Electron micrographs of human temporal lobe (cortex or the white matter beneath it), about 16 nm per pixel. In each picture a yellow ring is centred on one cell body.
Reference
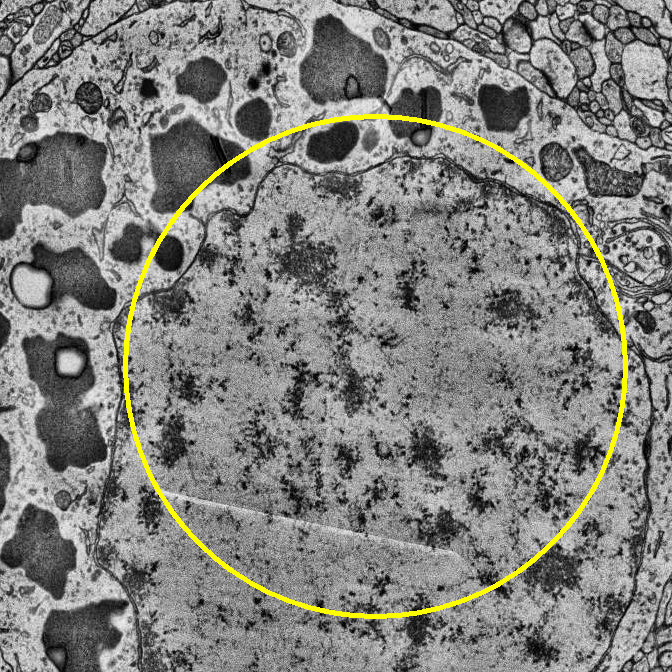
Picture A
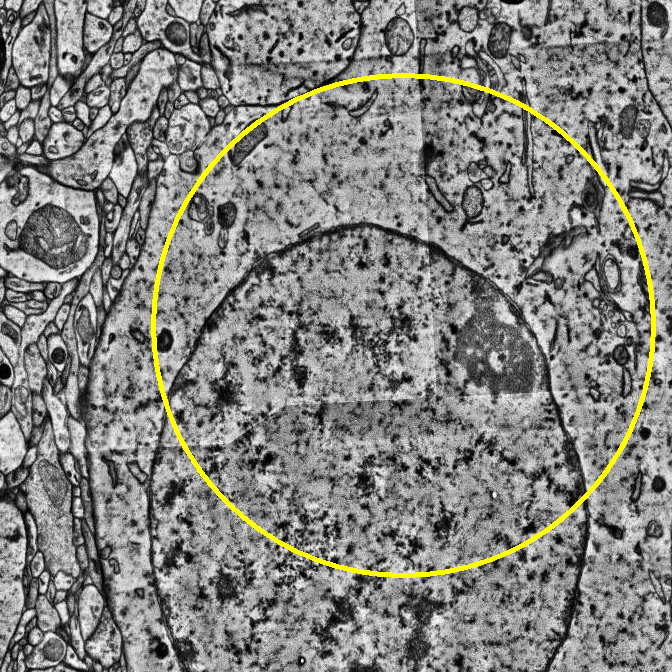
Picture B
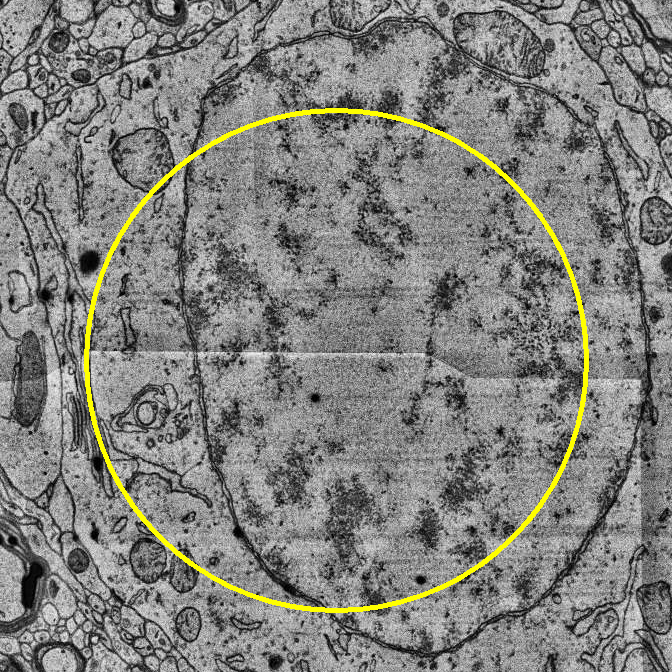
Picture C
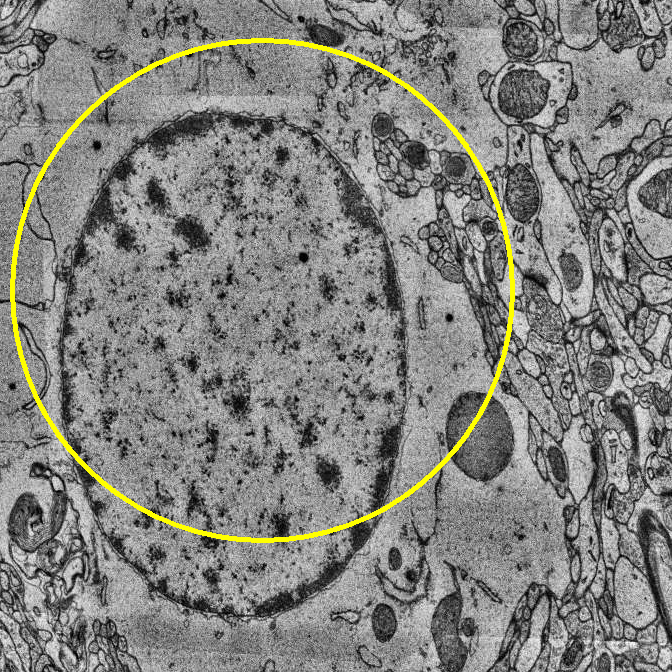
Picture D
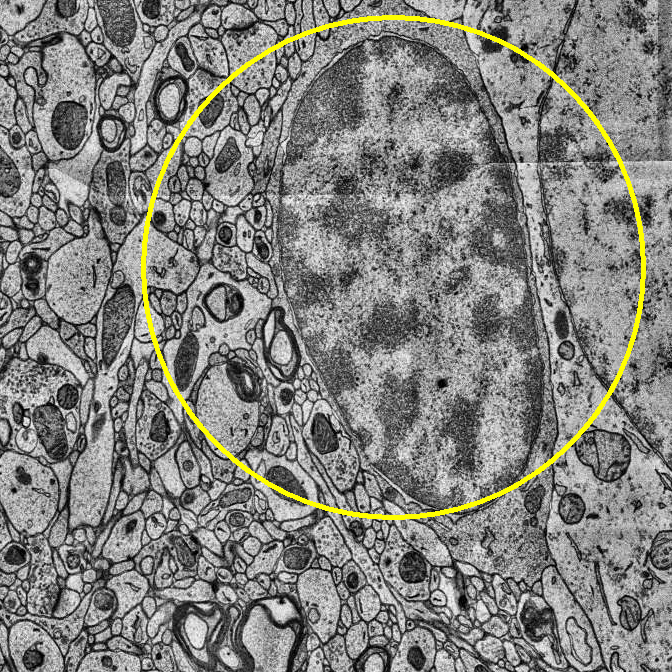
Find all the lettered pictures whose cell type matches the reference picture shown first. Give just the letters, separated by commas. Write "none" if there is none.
none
